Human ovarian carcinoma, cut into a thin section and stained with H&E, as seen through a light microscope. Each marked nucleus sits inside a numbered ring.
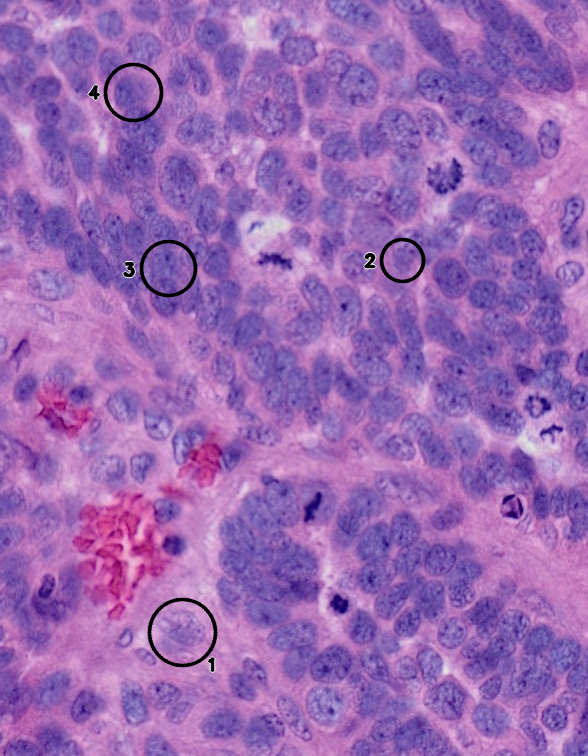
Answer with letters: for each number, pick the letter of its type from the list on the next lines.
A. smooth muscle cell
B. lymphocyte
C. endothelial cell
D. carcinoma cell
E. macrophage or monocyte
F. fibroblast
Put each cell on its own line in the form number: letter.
1: F
2: D
3: D
4: D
